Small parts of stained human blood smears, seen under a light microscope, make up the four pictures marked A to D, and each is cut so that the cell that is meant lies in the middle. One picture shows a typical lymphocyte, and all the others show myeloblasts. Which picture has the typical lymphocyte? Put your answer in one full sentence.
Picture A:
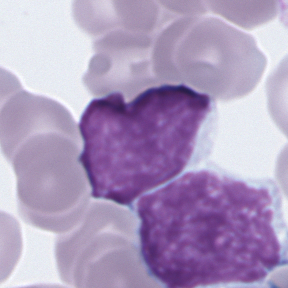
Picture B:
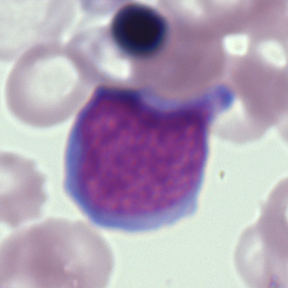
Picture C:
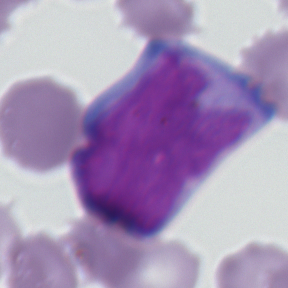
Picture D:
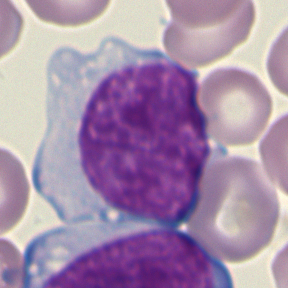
The typical lymphocyte is the one in picture A.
